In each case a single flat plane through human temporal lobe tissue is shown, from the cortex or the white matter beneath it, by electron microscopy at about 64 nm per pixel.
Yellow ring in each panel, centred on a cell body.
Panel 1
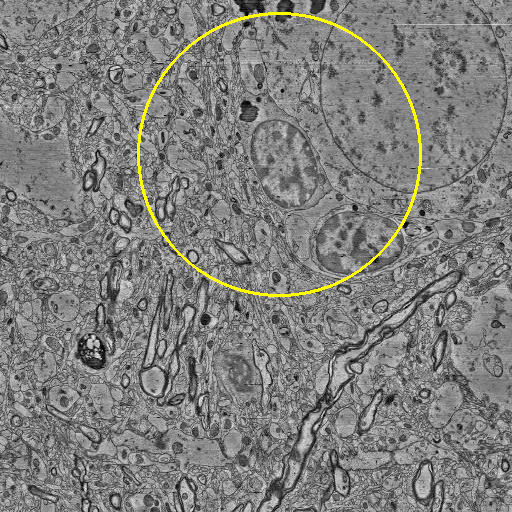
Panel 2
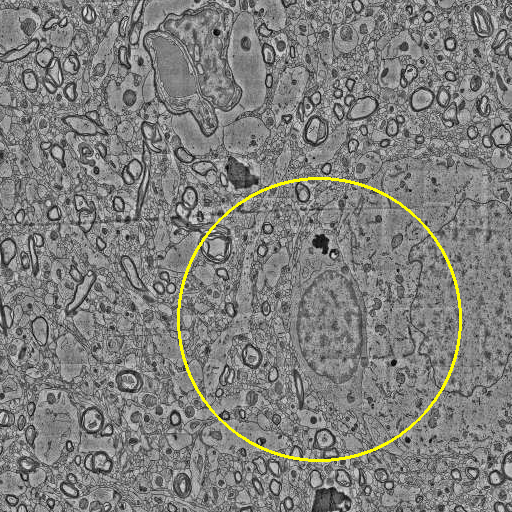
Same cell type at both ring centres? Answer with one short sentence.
Yes, both cells are of the same type.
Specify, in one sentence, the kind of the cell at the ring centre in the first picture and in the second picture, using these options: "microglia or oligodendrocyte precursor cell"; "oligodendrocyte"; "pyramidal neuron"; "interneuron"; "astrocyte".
Each of the two cells is an oligodendrocyte.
